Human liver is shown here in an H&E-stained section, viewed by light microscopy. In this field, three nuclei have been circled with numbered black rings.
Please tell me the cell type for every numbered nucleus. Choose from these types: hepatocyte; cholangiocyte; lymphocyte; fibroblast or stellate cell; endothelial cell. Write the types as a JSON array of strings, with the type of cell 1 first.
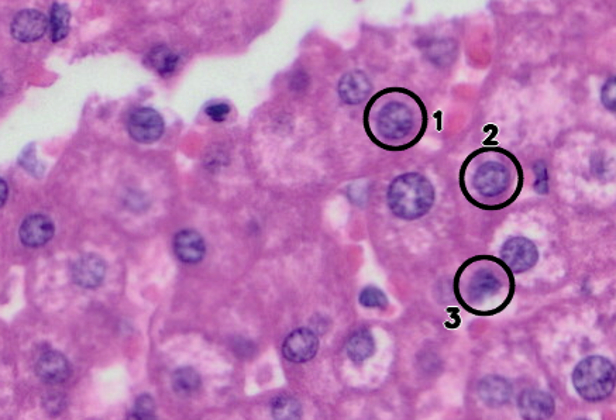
["hepatocyte", "hepatocyte", "endothelial cell"]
